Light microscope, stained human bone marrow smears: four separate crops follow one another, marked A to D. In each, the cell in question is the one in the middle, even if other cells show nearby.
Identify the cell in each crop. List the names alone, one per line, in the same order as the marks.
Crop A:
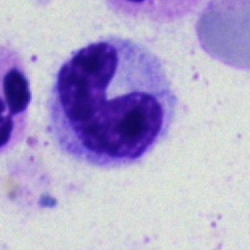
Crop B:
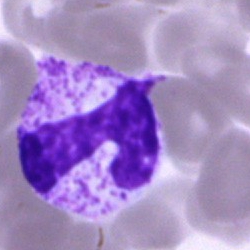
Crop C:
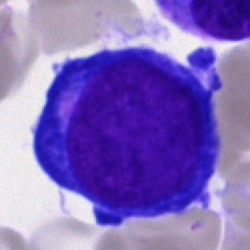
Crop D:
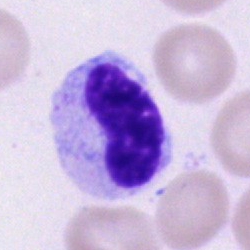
band neutrophil
band neutrophil
proerythroblast
band neutrophil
